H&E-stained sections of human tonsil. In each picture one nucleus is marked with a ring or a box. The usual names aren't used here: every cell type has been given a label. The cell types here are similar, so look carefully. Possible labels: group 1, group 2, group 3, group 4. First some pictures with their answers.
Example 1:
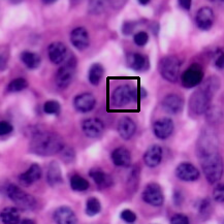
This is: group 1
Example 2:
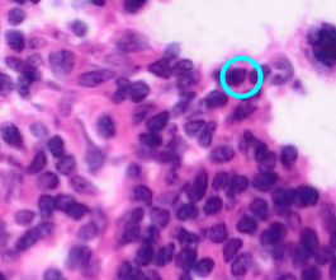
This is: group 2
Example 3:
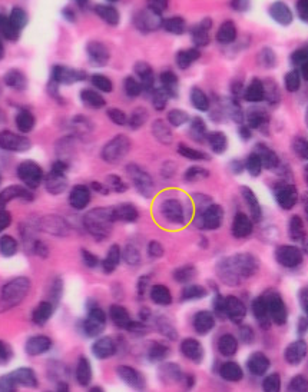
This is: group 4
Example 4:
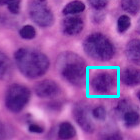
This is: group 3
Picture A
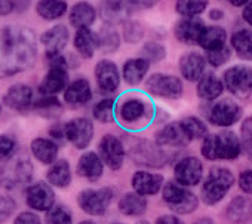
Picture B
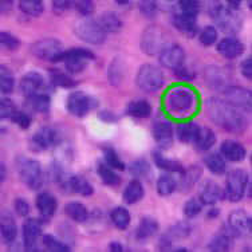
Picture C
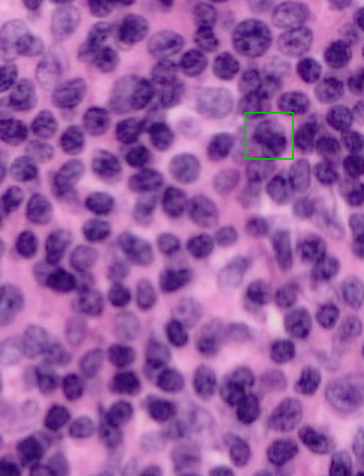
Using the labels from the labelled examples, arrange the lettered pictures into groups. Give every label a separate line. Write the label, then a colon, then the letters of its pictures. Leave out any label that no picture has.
group 2: A, C
group 4: B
